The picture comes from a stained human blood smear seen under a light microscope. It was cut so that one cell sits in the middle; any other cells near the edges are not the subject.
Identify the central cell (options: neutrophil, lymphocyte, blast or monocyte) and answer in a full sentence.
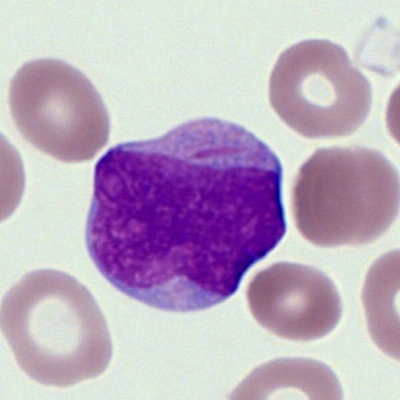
The cell around which this crop is centred is a blast.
